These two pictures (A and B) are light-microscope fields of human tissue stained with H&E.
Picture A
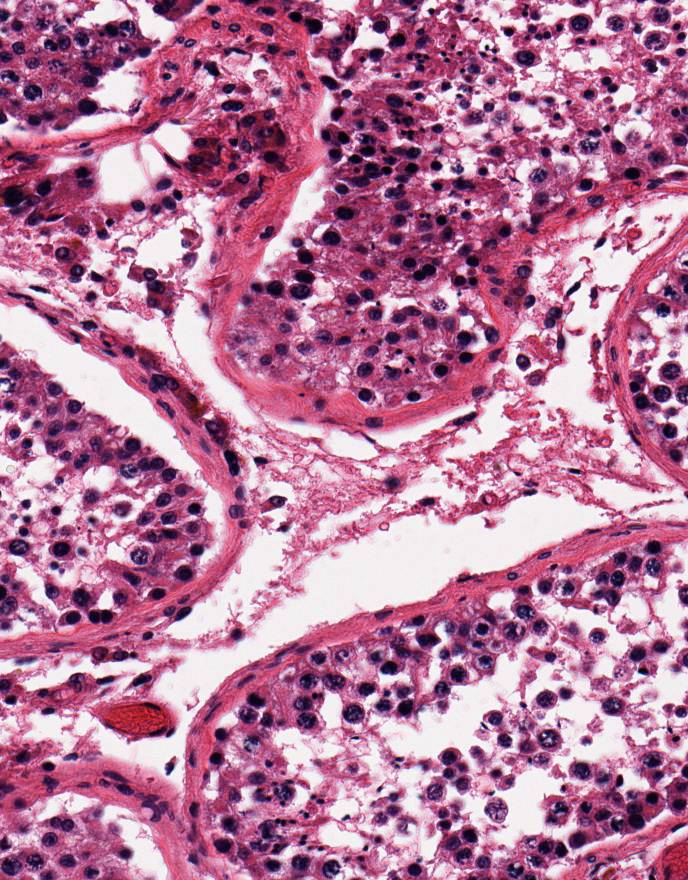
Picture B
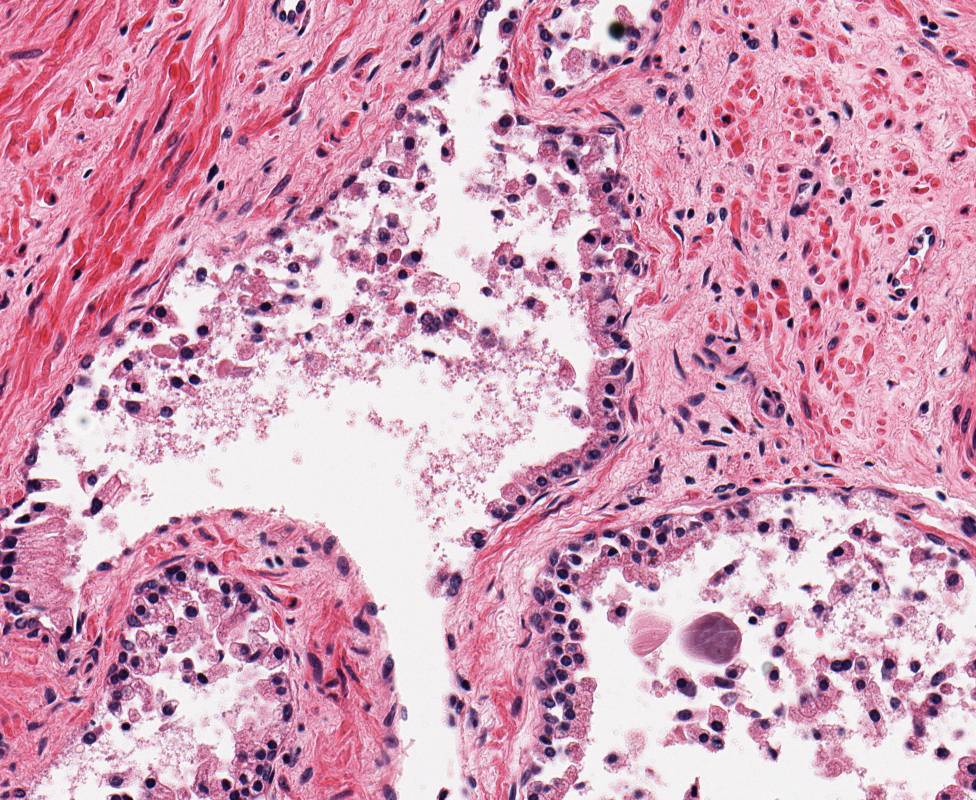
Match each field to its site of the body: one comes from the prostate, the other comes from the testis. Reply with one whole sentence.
It is picture A that comes from the testis, and picture B that comes from the prostate.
